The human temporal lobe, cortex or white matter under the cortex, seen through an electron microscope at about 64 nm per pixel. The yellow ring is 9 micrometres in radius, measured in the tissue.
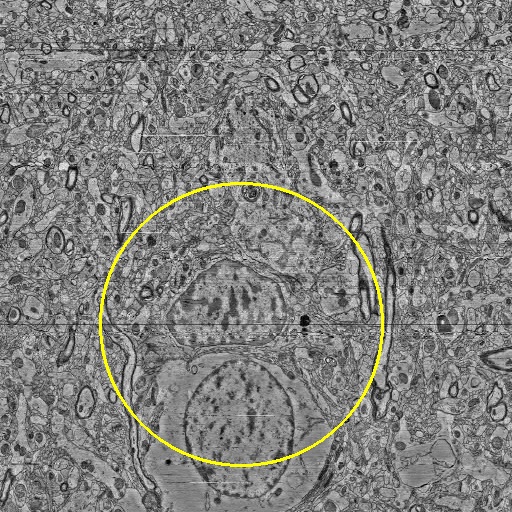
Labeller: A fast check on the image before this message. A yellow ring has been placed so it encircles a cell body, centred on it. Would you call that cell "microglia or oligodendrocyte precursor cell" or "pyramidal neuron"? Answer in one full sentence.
In this image, a microglial cell or oligodendrocyte precursor cell is the cell on which the yellow ring is centred.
